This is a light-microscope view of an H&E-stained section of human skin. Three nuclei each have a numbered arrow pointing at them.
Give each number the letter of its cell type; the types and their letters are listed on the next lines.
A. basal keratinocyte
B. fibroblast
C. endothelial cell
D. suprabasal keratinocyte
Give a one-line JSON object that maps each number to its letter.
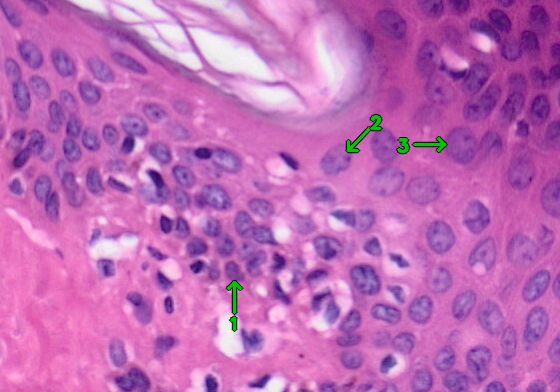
{"1": "A", "2": "D", "3": "D"}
